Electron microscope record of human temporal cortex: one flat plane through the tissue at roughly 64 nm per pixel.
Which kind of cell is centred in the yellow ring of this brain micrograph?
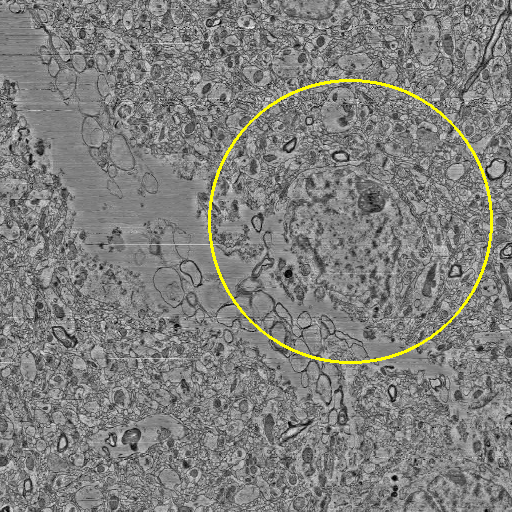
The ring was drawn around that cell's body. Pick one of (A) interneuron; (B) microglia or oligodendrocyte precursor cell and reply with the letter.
A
